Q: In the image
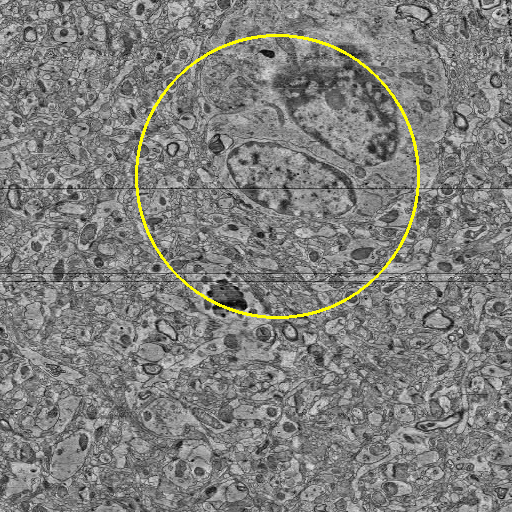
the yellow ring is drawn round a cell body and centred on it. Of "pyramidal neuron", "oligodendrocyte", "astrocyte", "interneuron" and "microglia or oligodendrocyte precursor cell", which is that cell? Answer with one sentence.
The cell centred in the ring is a microglial cell or oligodendrocyte precursor cell.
